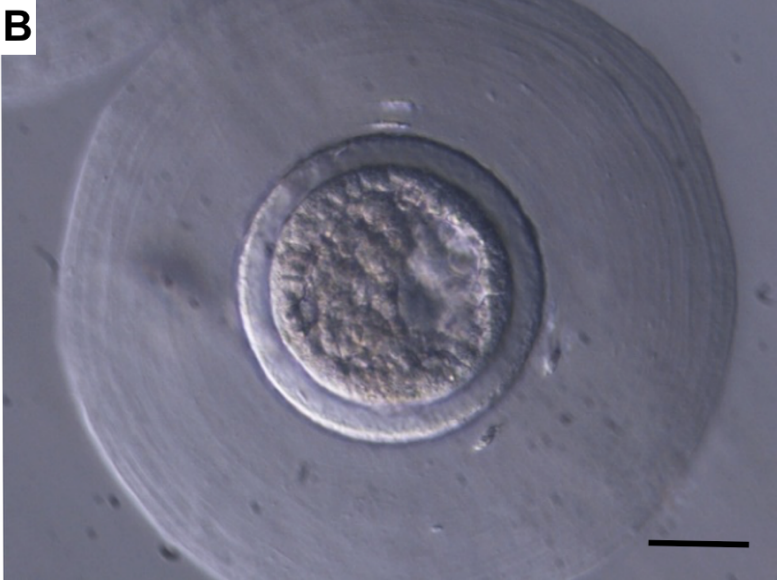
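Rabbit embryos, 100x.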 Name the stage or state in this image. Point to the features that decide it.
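A spherical cell mass with a small clearer, cavity-like region on one side. The cell mass lies inside a clear ring and a thick concentrically layered outer coat.
Conclusion: Early blastocyst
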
